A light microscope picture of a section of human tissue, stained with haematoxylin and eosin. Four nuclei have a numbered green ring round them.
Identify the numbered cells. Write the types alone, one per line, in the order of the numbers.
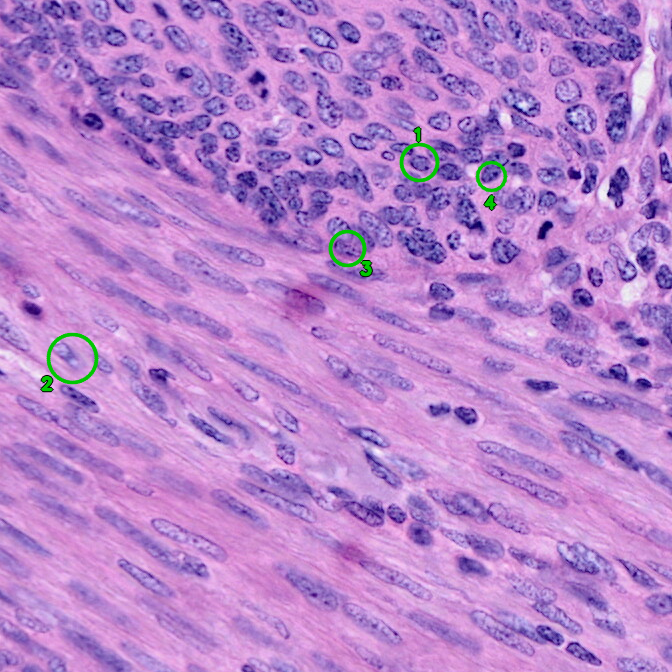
squamous carcinoma cell
smooth muscle cell
squamous carcinoma cell
squamous carcinoma cell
